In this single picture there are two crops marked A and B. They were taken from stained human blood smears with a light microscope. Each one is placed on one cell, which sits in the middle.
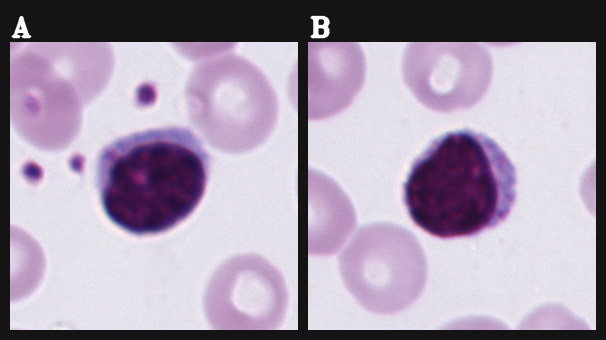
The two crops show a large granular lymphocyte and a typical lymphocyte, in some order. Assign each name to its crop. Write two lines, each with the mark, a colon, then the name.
A: typical lymphocyte
B: large granular lymphocyte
